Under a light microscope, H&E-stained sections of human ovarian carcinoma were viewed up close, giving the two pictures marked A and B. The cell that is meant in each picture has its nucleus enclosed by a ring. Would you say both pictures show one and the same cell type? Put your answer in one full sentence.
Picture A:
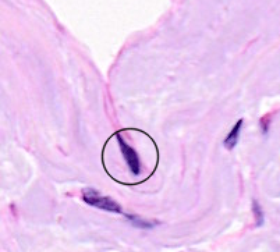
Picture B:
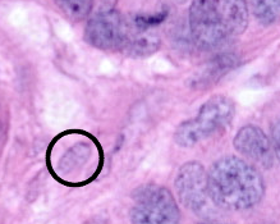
Yes, both are fibroblasts.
